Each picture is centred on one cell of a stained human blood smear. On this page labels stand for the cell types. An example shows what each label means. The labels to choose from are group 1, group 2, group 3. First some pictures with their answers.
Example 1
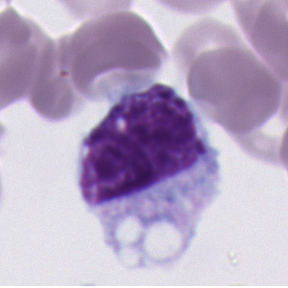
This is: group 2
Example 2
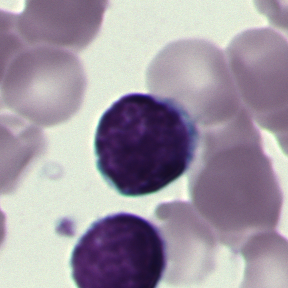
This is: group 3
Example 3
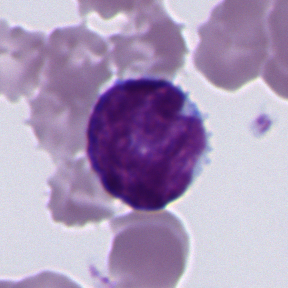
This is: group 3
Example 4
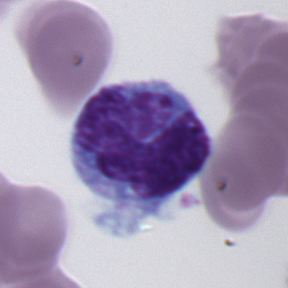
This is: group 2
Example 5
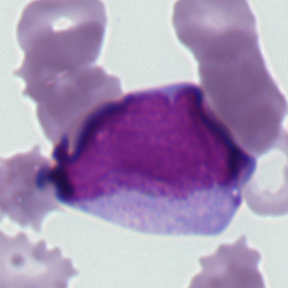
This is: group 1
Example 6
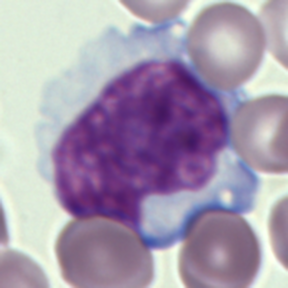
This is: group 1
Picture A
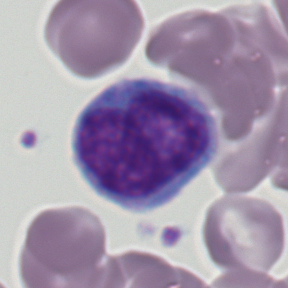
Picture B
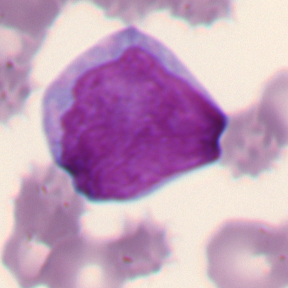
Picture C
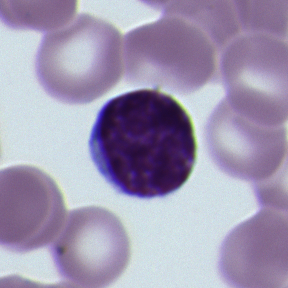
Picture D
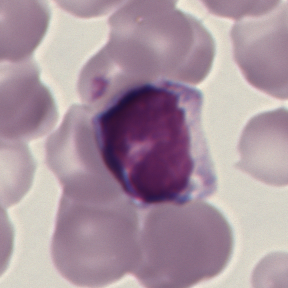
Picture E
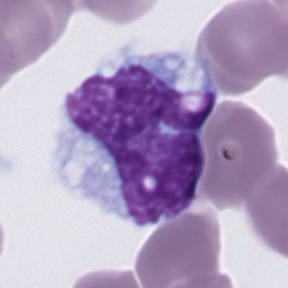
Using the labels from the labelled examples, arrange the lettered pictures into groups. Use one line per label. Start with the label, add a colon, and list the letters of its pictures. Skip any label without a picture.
group 1: B
group 2: A, E
group 3: C, D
